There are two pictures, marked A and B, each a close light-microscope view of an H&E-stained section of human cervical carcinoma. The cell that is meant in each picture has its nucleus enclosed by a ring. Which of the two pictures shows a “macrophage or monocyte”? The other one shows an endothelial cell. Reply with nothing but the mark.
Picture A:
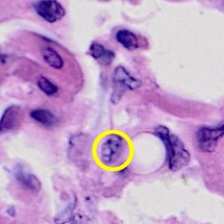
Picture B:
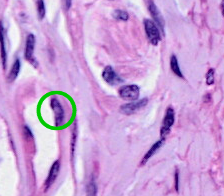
A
